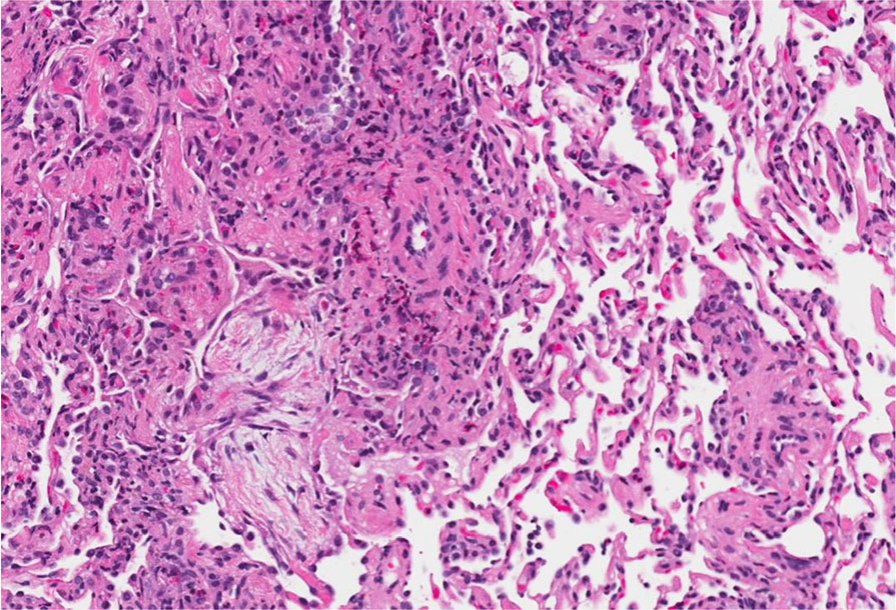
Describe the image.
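The field shows airspaces and their walls, with a dense cellular area around a small vessel and plugs of organizing pneumonia within neighbouring airspaces. On the right, thin pink septa lined by small dark nuclei outline open white spaces. Toward the left and centre, the walls are thickened and crowded with small round and oval nuclei. A small vessel with a narrow lumen and a pink muscular wall is surrounded by a dense cellular cuff. In the lower left and centre, rounded plugs of pale, loose, faintly pink tissue containing scattered spindle-shaped cells fill airspaces, partly separated from the surrounding walls by thin clefts.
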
